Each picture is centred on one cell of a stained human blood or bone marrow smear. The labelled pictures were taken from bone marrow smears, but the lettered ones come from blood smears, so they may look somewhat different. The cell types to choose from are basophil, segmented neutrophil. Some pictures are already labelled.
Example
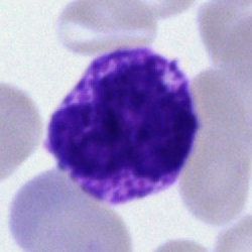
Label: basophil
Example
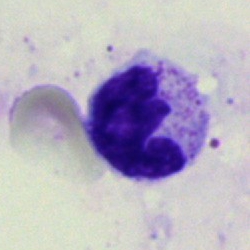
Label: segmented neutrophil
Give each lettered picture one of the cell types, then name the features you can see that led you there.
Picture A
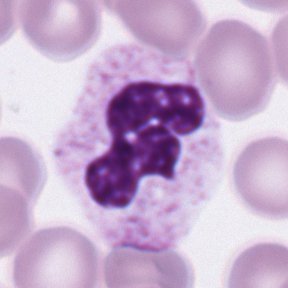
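Answer: segmented neutrophil. Fine pink-violet granules are scattered throughout the cytoplasm.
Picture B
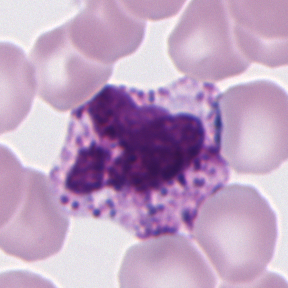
Answer: basophil. The granules are coarse and unevenly scattered.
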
